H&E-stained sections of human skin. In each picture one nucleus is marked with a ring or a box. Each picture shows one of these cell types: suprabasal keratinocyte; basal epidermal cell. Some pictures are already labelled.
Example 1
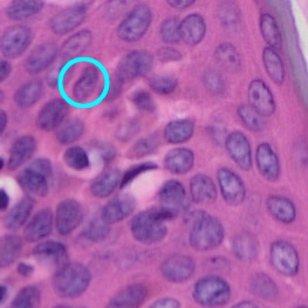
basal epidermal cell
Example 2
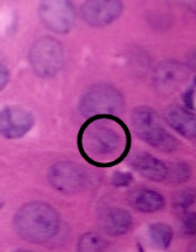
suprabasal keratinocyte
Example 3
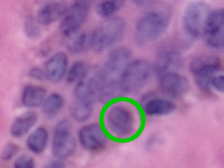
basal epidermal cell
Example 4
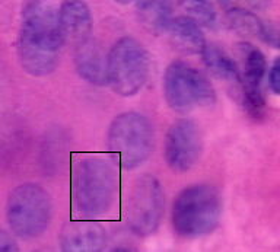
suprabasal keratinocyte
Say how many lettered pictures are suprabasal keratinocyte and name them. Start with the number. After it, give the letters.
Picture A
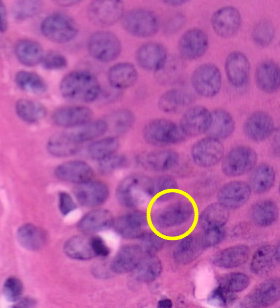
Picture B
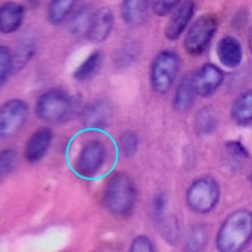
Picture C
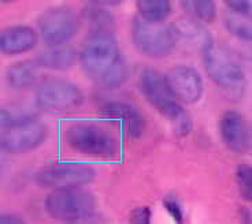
0, none of them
